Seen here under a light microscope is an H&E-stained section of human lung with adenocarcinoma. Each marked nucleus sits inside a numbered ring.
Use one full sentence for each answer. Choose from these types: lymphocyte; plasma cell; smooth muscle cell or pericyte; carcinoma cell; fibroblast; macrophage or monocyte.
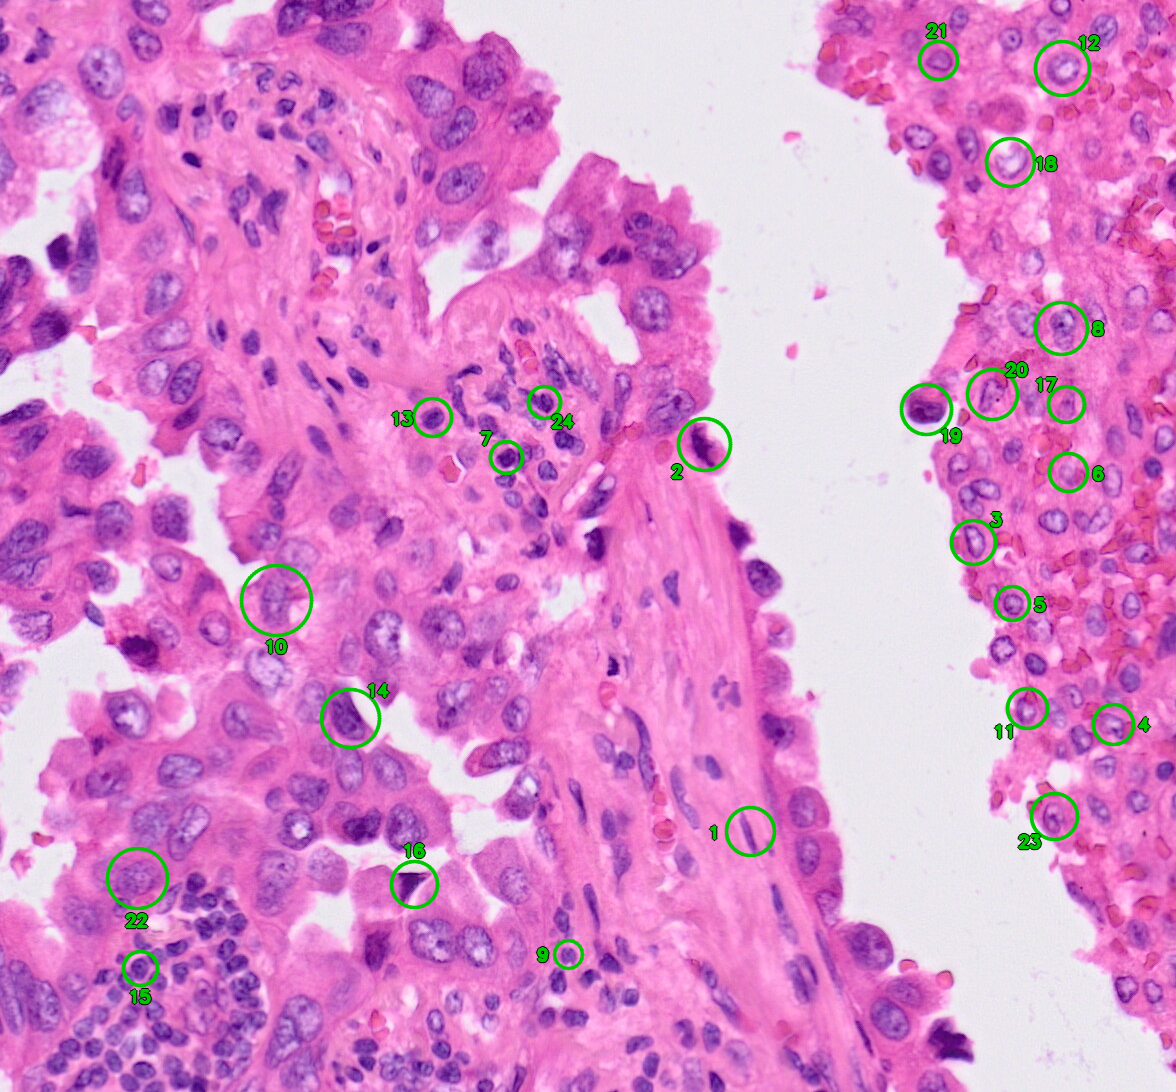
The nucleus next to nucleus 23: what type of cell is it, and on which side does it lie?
Just to the right of nucleus 23 lies the nearest nucleus, which belongs to a macrophage or monocyte.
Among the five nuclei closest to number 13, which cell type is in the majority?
Around number 13, most of the five nearest nuclei are those of lymphocytes.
